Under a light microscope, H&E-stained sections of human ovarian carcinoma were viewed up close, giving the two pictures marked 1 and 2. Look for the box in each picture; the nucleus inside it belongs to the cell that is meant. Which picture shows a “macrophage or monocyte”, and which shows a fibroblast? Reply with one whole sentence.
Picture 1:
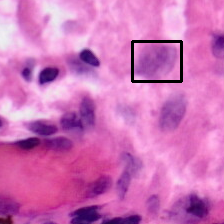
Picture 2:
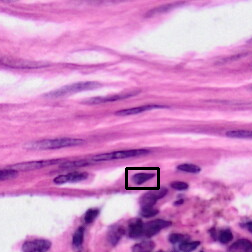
Picture 1 is of a fibroblast, and picture 2 is of a “macrophage or monocyte”.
